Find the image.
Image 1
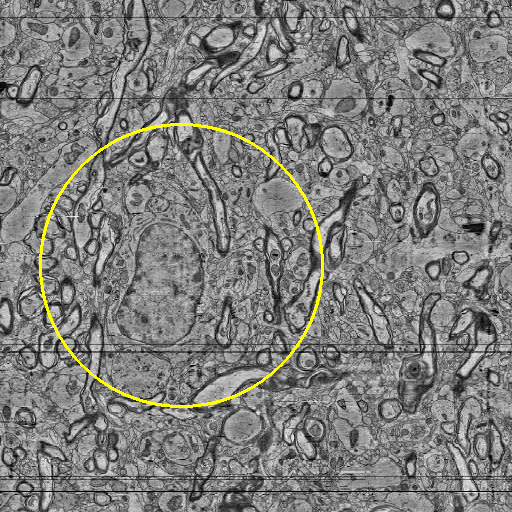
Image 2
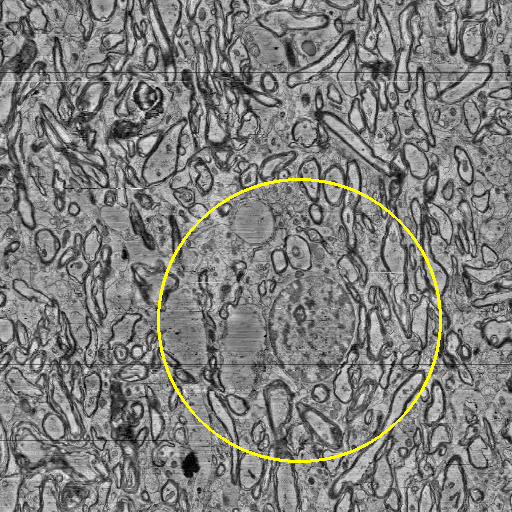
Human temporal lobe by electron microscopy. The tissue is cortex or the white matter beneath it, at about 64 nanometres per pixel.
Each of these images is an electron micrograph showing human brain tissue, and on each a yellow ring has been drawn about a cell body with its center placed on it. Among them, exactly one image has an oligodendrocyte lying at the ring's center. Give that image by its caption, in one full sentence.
The ring in Image 2 is centered on the cell the question describes.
